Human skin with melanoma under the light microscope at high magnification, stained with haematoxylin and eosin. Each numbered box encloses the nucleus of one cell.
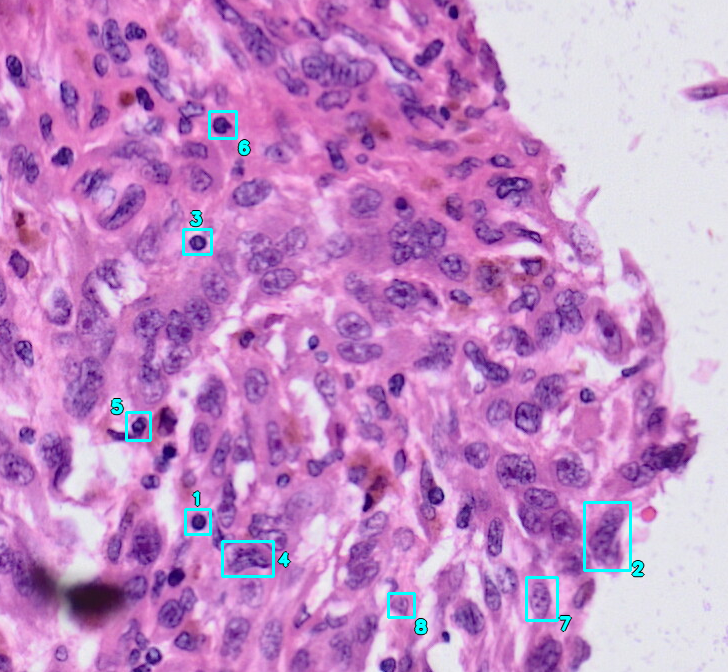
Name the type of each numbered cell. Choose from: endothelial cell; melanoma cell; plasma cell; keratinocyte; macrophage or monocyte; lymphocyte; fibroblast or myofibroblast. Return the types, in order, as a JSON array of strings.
["lymphocyte", "melanoma cell", "lymphocyte", "melanoma cell", "lymphocyte", "lymphocyte", "melanoma cell", "macrophage or monocyte"]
